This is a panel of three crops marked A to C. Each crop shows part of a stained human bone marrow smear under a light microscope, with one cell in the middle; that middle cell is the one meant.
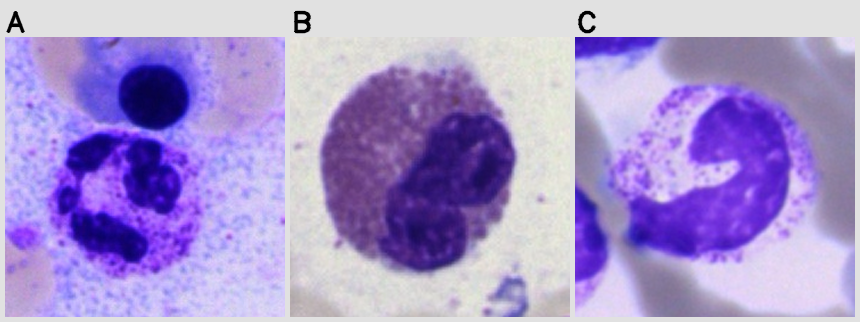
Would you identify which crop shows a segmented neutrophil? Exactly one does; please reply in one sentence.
Crop A is the crop in which a segmented neutrophil is shown.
